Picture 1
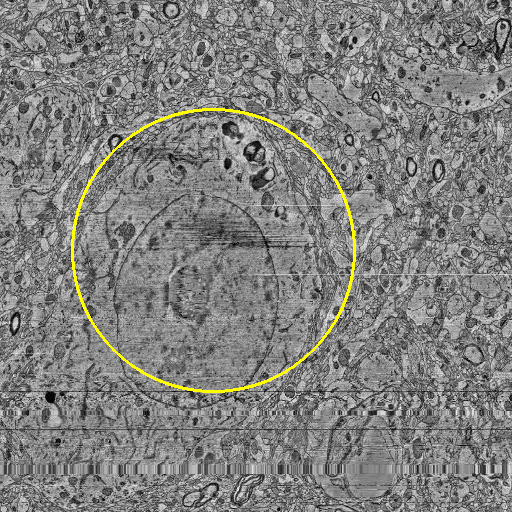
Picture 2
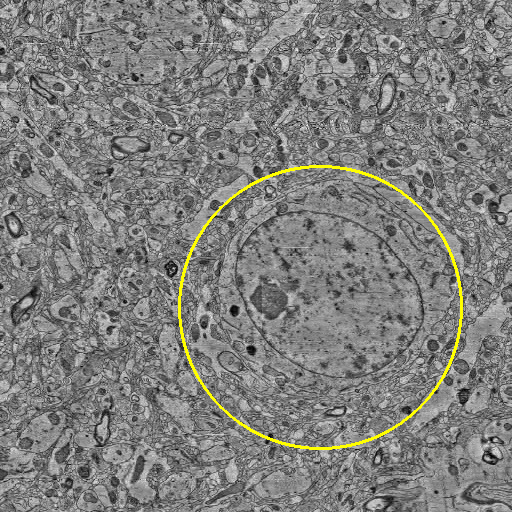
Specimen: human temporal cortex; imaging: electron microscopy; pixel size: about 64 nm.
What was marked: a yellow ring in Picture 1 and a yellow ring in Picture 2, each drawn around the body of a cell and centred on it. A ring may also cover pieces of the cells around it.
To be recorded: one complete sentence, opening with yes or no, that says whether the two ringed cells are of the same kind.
Yes, the two ringed cells are of the same kind.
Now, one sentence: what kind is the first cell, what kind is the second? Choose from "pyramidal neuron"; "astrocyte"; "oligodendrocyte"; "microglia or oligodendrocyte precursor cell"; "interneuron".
In both pictures the ring is centred on a pyramidal neuron.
